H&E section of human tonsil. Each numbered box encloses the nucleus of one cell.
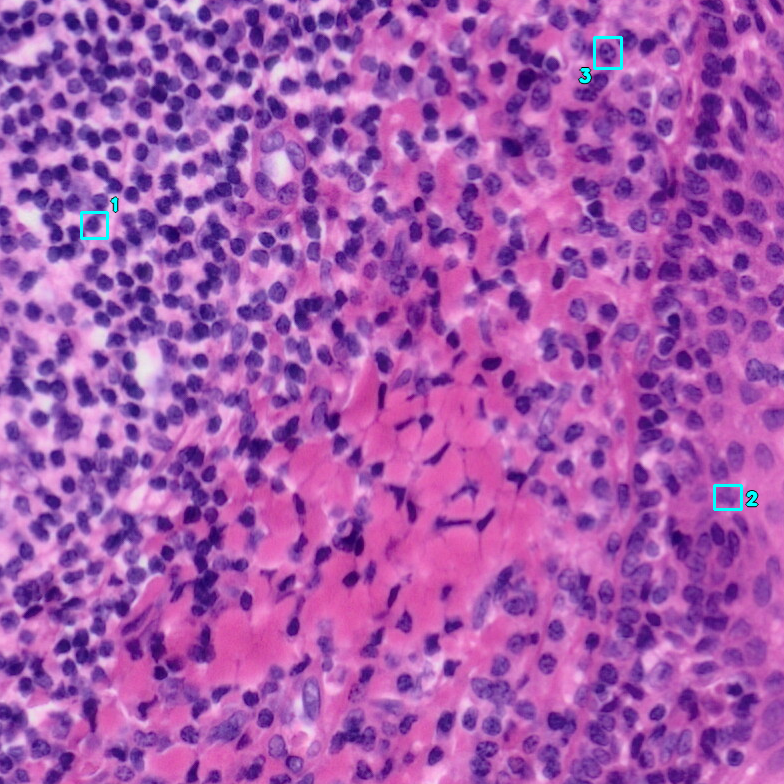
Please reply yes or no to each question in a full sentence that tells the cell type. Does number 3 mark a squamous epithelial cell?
No, sorry, the cell labelled 3 is not a squamous epithelial cell; it is a plasma cell.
